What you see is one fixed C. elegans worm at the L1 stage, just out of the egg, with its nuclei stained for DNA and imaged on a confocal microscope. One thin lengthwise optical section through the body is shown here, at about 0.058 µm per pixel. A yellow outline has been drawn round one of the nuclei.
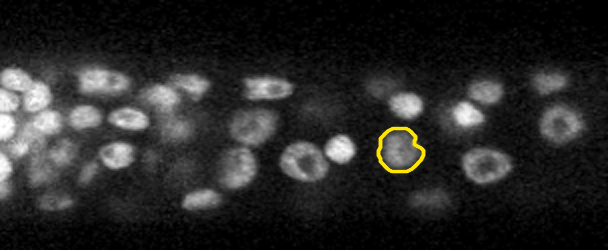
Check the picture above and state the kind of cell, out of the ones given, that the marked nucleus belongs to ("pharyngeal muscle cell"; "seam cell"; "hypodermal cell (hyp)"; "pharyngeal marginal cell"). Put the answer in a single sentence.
The nucleus comes from a seam cell.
